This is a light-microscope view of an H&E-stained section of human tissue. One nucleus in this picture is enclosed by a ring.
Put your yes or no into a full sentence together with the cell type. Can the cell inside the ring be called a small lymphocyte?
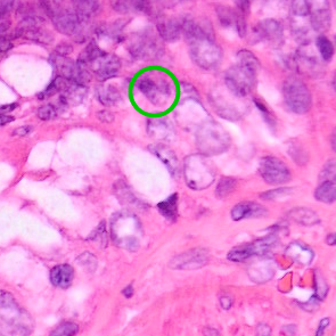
No, it is a ciliated epithelial cell rather than a small lymphocyte that the cell inside the ring is.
